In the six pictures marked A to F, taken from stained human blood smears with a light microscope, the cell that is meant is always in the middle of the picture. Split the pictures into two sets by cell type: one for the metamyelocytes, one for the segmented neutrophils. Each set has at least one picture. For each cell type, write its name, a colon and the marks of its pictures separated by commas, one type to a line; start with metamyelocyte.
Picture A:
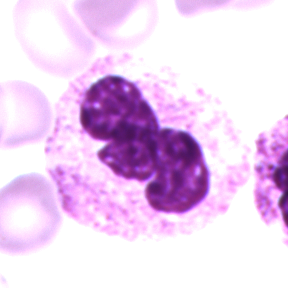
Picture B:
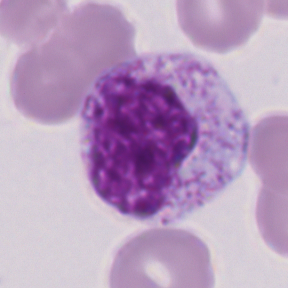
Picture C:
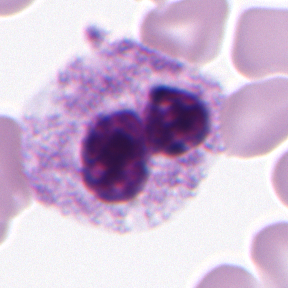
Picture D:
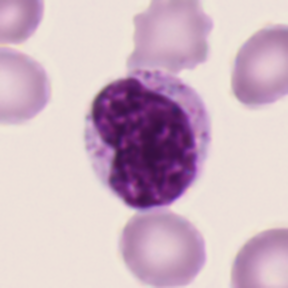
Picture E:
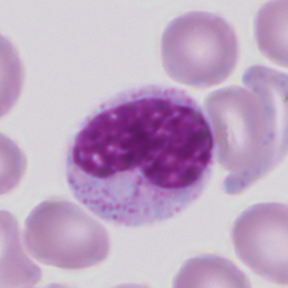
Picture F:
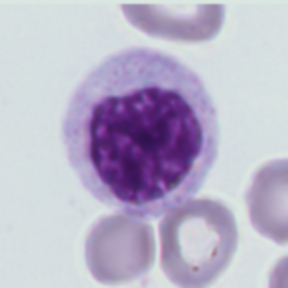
metamyelocyte: B, D, E, F
segmented neutrophil: A, C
